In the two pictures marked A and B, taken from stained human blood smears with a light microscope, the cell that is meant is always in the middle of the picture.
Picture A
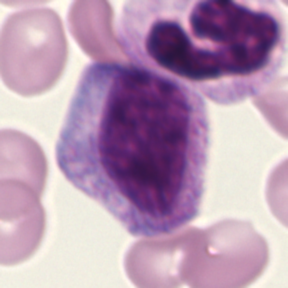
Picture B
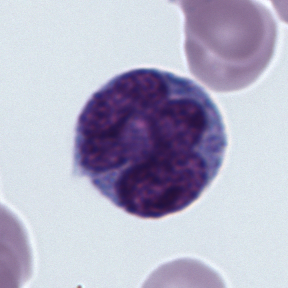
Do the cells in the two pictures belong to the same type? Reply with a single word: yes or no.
no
